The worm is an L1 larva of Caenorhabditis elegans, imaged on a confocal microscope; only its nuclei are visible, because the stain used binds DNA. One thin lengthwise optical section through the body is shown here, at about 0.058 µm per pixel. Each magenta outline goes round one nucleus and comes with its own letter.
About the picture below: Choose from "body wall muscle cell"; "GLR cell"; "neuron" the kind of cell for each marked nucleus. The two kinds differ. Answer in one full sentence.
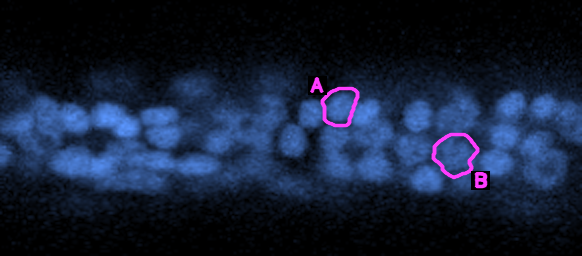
A is in a GLR cell and B is in a neuron.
